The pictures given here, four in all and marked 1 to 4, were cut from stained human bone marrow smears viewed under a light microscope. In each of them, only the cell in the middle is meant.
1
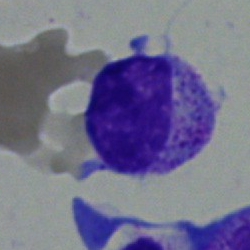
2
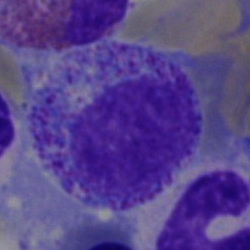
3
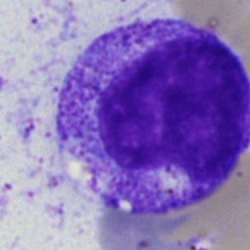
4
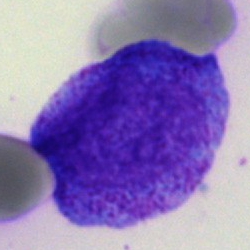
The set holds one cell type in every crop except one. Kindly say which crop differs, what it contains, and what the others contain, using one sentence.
Crop 4 stands apart from the rest as a promyelocyte, the others all being myelocytes.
